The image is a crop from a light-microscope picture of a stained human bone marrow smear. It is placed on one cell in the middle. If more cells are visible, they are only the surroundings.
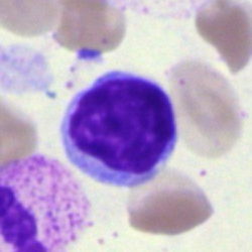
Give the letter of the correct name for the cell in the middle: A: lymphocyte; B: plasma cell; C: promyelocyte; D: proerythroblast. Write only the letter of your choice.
A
